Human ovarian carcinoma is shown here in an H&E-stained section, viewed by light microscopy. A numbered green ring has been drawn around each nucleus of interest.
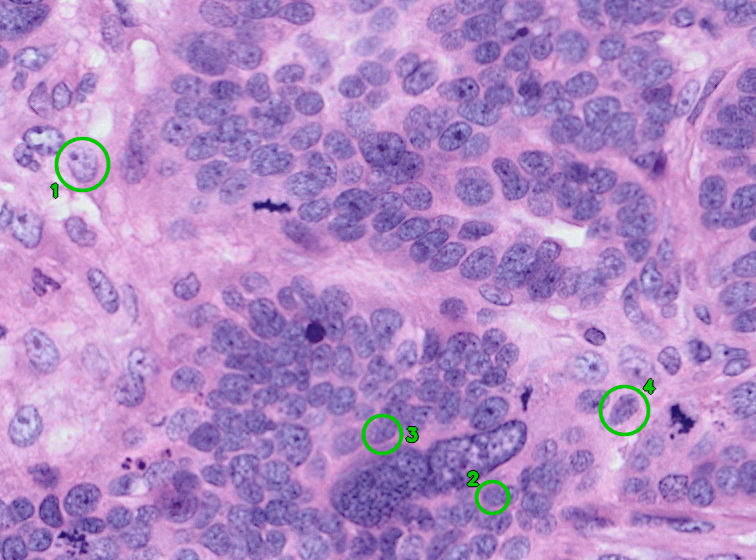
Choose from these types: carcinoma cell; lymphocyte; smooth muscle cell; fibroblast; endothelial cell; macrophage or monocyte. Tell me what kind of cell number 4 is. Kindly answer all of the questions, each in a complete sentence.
Cell 4, as marked in the section, is a macrophage or monocyte.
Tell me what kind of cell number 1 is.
Nucleus 1 in this section belongs to a fibroblast.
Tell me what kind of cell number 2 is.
The cell that is numbered 2 is a carcinoma cell.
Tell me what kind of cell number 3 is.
Number 3 among the marked cells is a carcinoma cell.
